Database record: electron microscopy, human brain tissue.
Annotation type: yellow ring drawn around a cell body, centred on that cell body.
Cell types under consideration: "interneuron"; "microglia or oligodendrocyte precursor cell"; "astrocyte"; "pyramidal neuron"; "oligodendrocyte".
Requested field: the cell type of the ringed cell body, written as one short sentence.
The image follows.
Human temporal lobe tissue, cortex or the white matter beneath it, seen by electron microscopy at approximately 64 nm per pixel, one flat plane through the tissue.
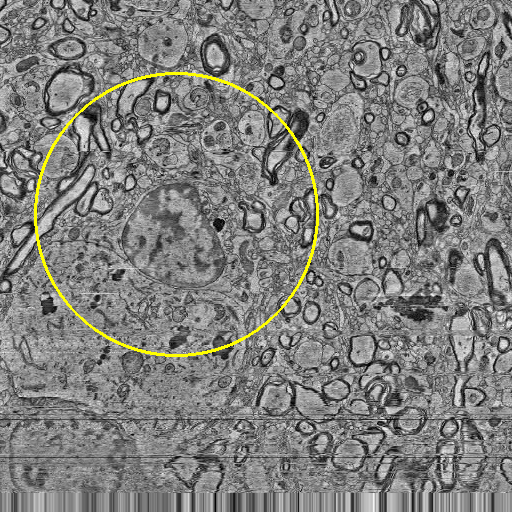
The ringed cell body represents a microglial cell or oligodendrocyte precursor cell.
